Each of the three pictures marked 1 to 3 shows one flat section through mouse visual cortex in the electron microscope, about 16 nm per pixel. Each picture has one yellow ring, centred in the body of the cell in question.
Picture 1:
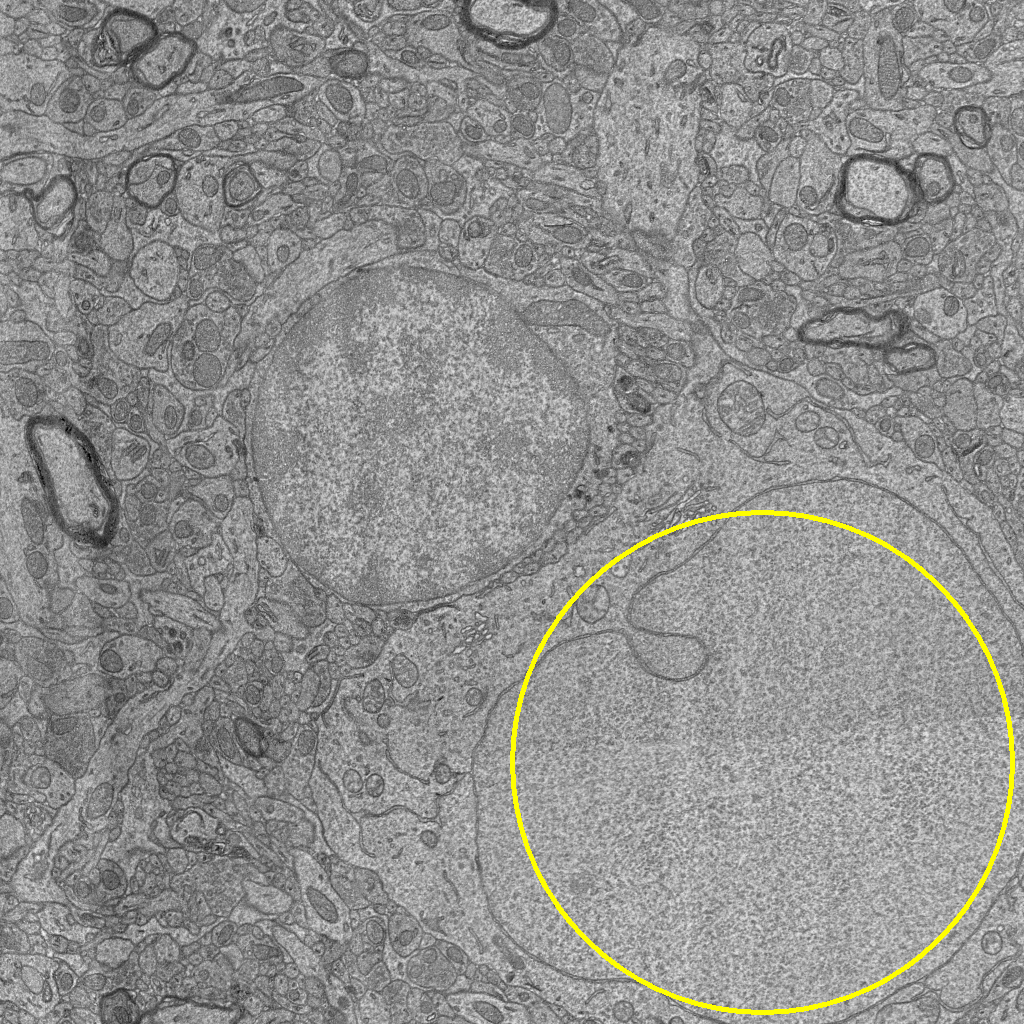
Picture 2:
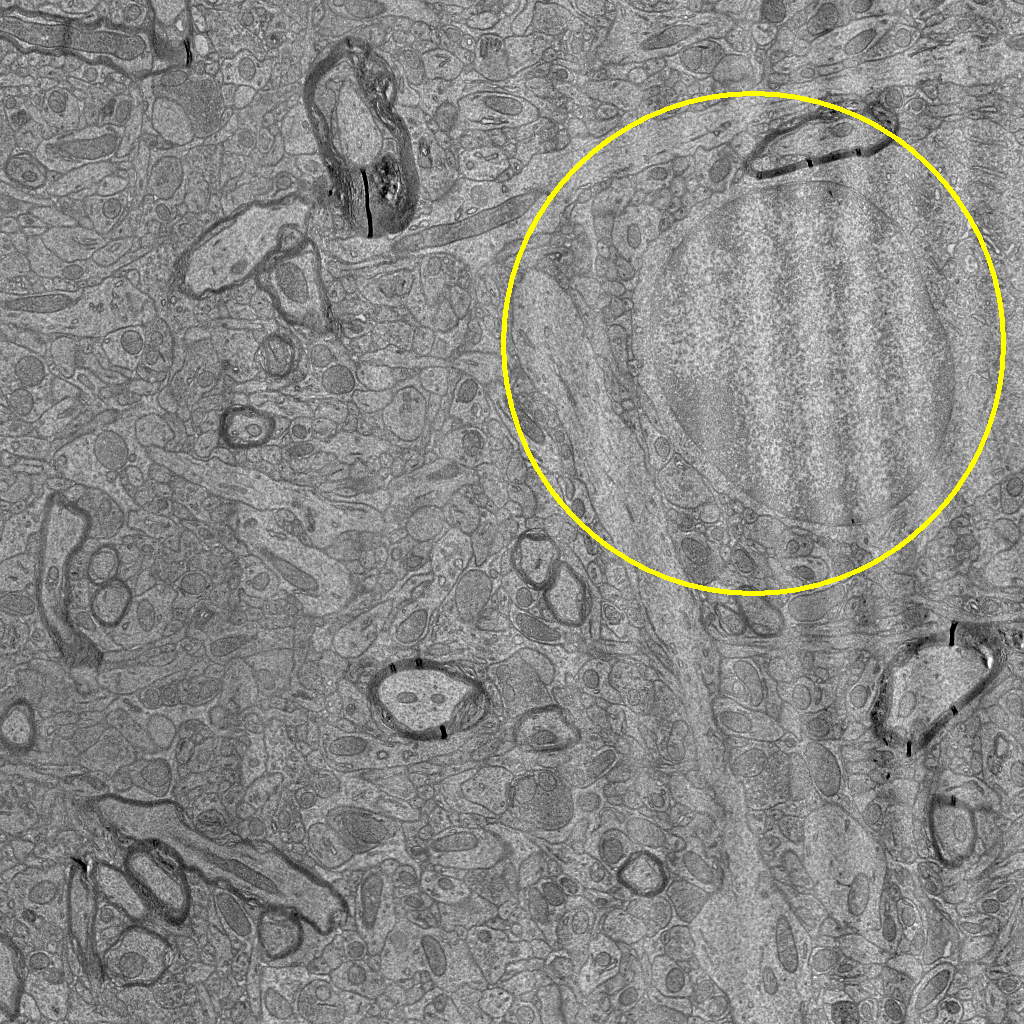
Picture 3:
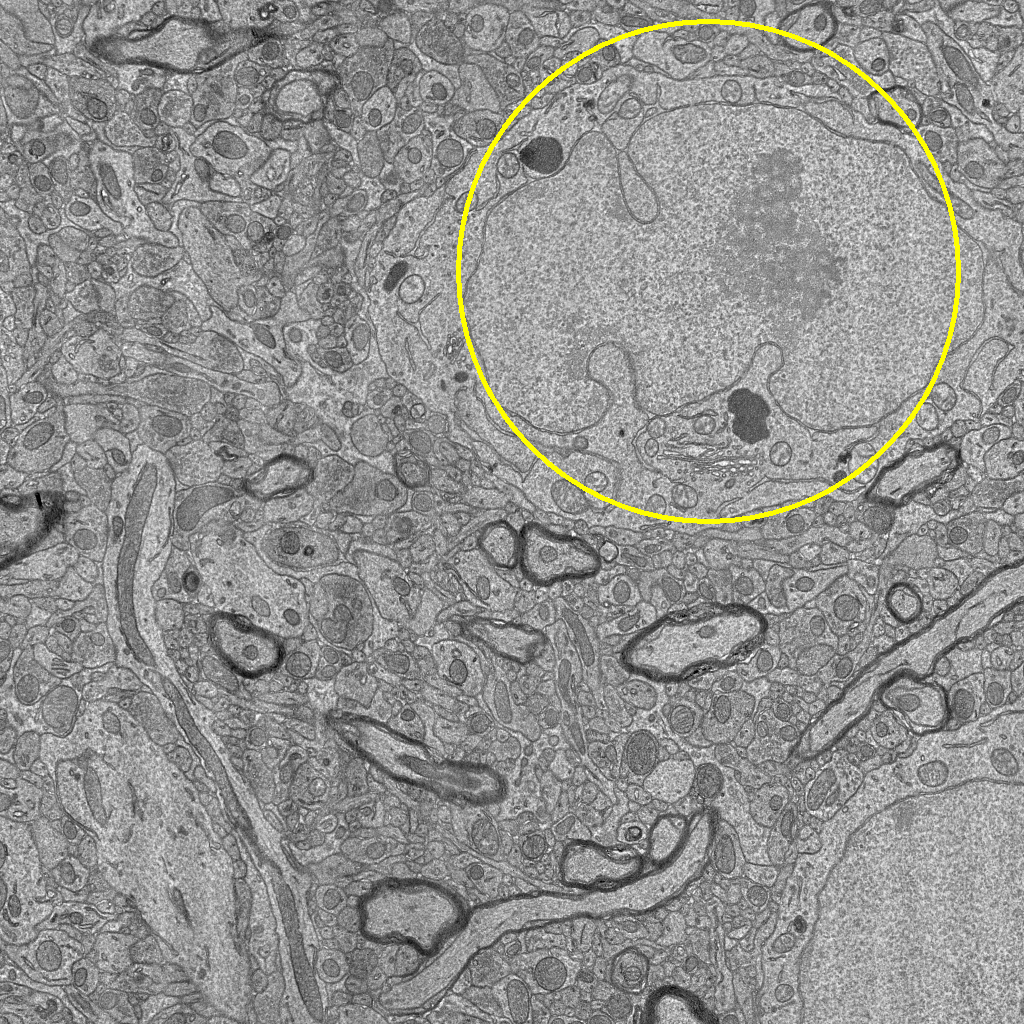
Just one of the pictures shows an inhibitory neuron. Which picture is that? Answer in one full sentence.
The picture with the inhibitory neuron is 3.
